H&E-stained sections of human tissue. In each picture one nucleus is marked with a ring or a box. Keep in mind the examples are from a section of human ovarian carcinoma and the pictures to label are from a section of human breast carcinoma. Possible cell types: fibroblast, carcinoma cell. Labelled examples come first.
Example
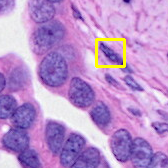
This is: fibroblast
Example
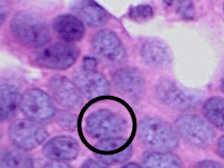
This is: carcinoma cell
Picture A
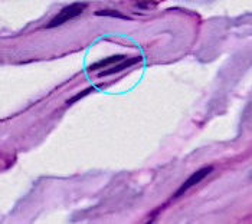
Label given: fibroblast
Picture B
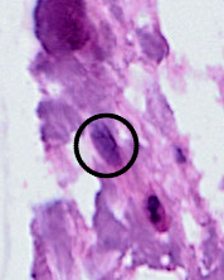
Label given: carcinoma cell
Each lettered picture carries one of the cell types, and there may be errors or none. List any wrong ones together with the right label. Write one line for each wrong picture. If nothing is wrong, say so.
B: not carcinoma cell but fibroblast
